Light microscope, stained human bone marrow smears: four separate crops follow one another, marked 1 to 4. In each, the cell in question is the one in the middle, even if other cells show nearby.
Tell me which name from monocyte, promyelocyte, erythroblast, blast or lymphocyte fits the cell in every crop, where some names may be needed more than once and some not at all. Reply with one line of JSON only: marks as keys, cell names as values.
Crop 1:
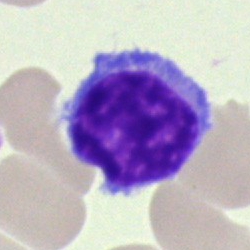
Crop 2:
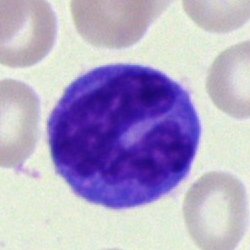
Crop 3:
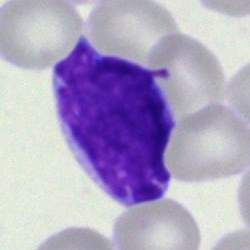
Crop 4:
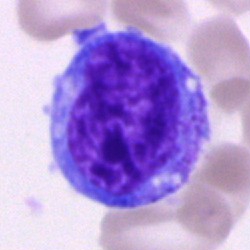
{"1": "lymphocyte", "2": "monocyte", "3": "blast", "4": "promyelocyte"}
